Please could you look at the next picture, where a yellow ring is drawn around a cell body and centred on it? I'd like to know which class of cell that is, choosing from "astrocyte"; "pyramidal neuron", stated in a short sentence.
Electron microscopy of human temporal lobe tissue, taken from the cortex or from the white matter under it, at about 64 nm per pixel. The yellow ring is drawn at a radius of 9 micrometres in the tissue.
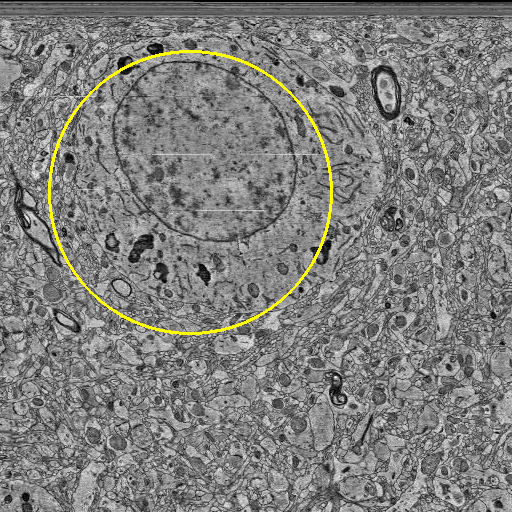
The ring's centre lies on a pyramidal neuron.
